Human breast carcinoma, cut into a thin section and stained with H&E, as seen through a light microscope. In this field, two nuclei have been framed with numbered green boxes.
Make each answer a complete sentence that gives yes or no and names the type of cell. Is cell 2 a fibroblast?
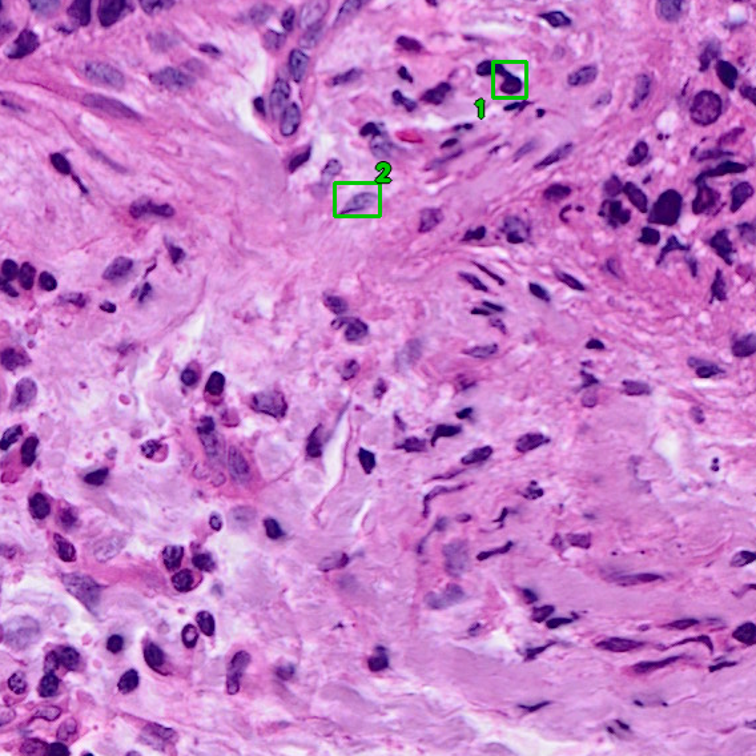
Yes, the cell that goes by number 2 is a fibroblast.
